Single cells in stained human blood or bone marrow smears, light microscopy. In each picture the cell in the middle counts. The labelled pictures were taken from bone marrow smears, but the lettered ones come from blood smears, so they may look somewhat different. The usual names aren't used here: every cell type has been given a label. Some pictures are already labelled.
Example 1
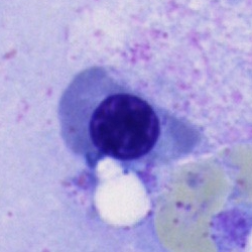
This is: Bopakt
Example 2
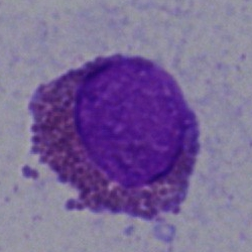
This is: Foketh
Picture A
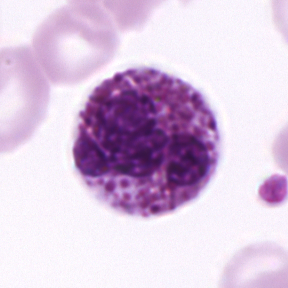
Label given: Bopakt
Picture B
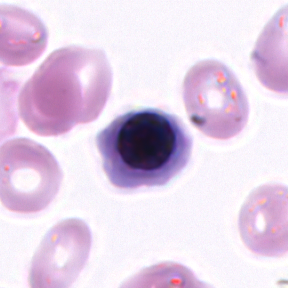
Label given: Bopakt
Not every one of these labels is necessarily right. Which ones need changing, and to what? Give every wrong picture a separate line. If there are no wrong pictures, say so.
A: change Bopakt to Foketh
